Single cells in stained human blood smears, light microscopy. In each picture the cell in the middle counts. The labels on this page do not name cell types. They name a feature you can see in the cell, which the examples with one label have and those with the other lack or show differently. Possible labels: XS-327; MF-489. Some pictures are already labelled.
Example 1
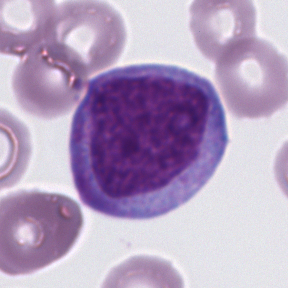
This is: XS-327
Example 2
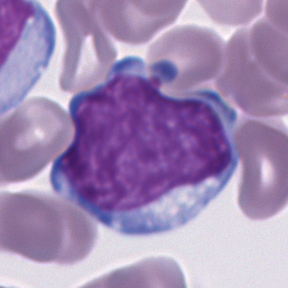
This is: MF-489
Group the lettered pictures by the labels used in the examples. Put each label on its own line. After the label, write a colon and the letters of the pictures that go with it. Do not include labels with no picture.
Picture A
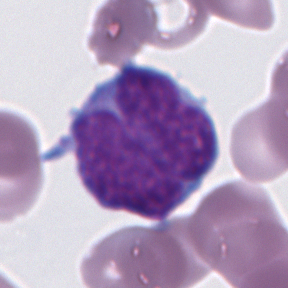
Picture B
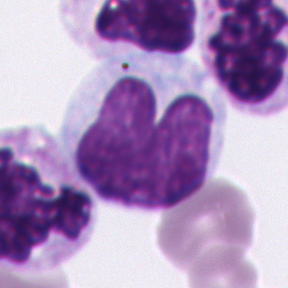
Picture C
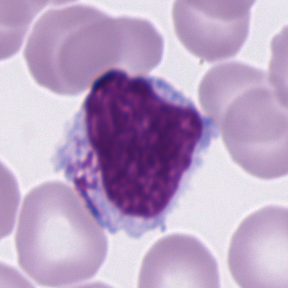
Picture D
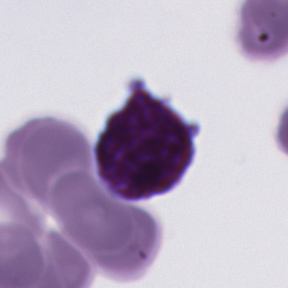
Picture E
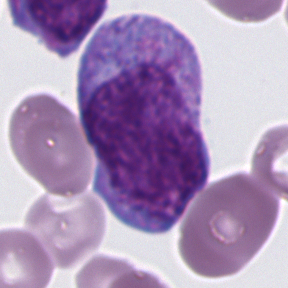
XS-327: B, E
MF-489: A, C, D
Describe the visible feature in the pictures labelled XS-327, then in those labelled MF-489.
Seen in XS-327: smooth outline; seen in MF-489: ragged outline or projections.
